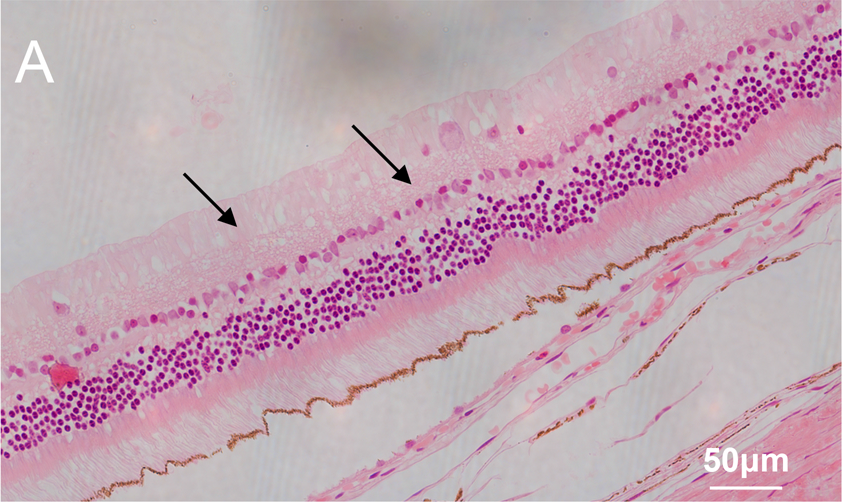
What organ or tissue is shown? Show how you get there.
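Retina. A thin brown pigmented line runs along one side of the layered tissue.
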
